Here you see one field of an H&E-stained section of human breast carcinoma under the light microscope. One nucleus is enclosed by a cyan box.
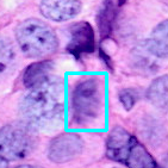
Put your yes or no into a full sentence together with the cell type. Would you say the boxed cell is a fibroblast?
No, rather than being a fibroblast, the boxed cell is a carcinoma cell.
